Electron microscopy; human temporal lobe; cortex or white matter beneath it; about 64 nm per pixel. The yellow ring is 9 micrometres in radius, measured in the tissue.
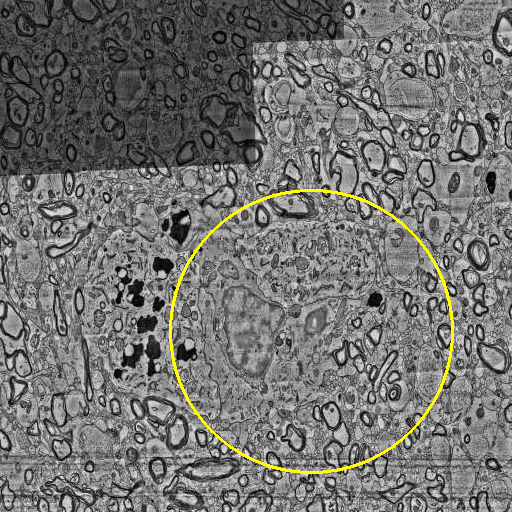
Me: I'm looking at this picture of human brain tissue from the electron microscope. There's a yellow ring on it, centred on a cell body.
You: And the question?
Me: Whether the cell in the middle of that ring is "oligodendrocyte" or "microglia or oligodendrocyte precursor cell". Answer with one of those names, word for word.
microglia or oligodendrocyte precursor cell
